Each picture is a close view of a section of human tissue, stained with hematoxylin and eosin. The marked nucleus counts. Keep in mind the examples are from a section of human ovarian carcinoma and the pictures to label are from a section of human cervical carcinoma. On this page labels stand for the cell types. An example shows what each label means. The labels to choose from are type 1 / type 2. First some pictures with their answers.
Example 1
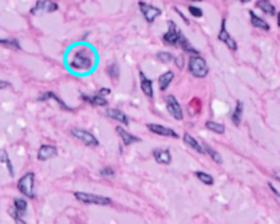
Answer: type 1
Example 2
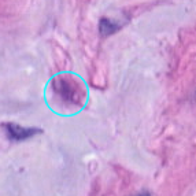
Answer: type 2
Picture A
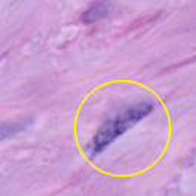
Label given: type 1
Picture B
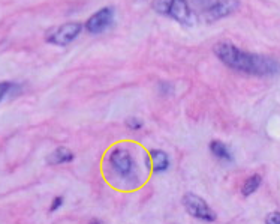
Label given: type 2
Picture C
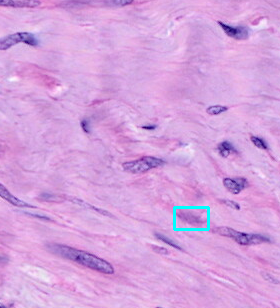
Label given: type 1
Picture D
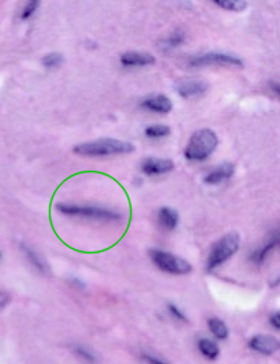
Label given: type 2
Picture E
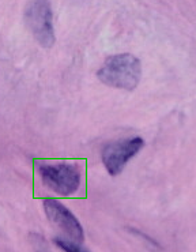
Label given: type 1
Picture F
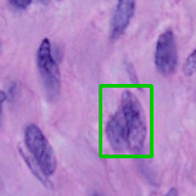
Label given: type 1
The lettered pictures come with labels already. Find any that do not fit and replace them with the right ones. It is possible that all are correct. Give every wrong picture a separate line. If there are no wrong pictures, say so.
C: not type 1 but type 2
D: not type 2 but type 1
